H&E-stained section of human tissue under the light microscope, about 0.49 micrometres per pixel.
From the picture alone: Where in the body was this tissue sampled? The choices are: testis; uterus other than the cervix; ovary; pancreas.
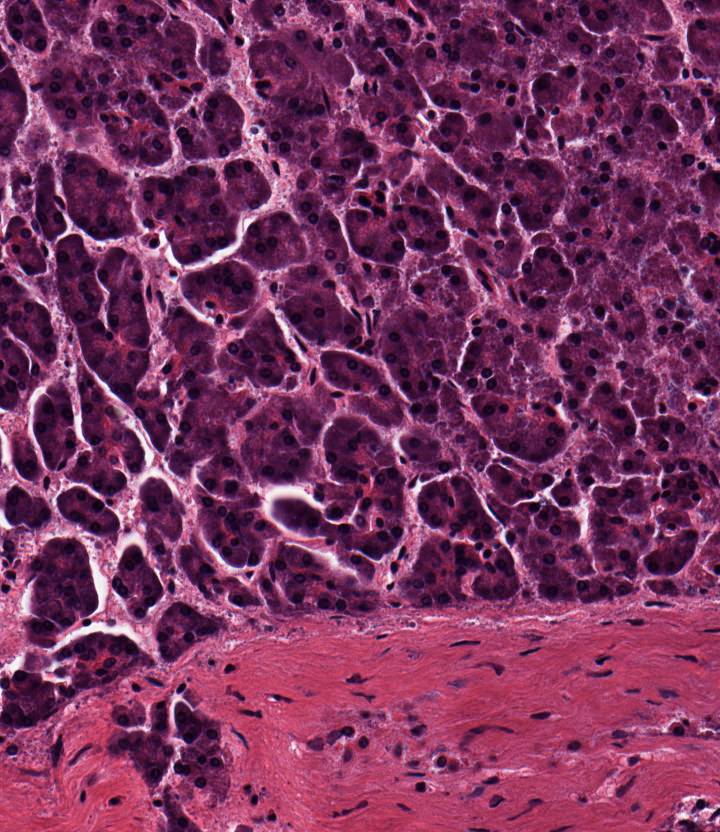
pancreas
